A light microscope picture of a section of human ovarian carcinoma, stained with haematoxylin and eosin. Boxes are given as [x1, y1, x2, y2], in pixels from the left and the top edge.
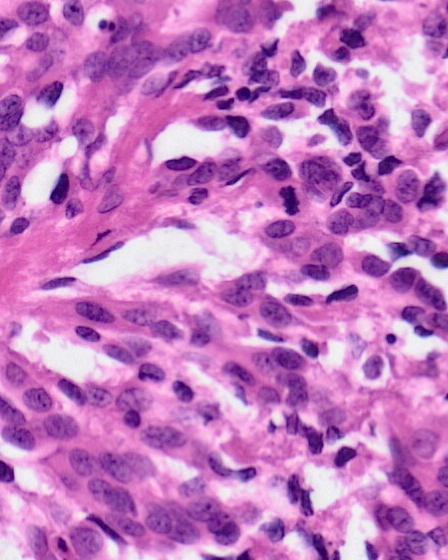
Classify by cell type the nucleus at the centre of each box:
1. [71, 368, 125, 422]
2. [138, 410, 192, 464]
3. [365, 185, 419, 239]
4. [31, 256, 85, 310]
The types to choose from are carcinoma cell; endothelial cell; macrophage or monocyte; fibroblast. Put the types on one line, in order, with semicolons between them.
carcinoma cell; carcinoma cell; carcinoma cell; fibroblast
